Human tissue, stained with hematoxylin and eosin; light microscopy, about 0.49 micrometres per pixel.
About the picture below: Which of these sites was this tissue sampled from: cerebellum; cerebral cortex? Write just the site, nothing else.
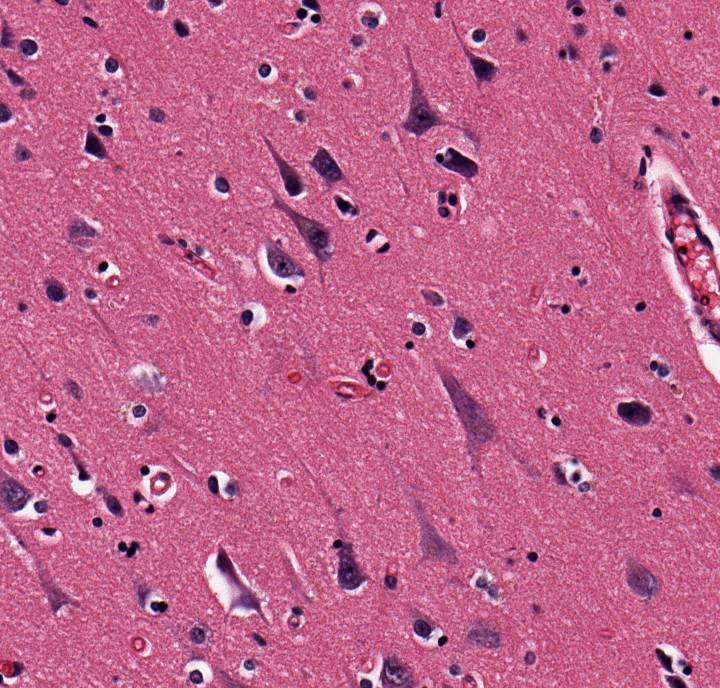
cerebral cortex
